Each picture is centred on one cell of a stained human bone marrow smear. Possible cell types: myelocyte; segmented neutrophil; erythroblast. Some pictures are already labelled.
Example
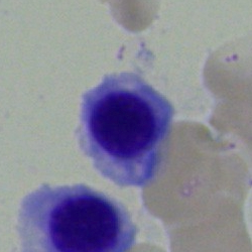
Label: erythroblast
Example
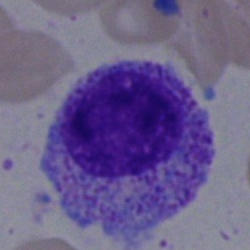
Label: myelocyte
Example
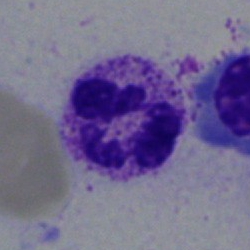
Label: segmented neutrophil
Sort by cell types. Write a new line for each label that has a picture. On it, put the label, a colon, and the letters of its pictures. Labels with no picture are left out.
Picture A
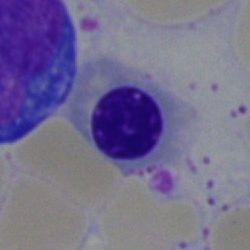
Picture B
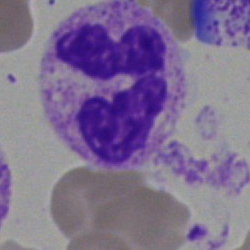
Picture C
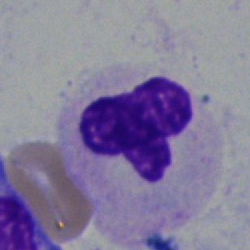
segmented neutrophil: B, C
erythroblast: A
